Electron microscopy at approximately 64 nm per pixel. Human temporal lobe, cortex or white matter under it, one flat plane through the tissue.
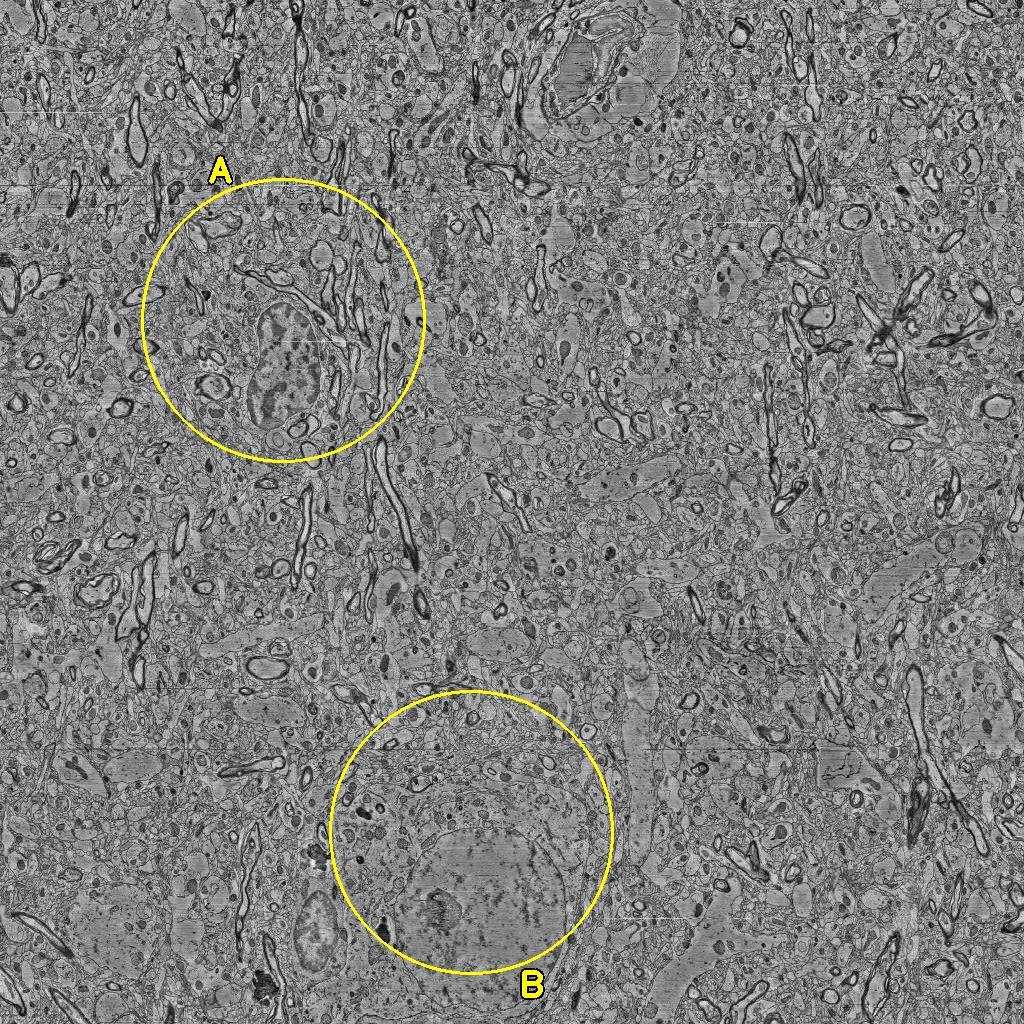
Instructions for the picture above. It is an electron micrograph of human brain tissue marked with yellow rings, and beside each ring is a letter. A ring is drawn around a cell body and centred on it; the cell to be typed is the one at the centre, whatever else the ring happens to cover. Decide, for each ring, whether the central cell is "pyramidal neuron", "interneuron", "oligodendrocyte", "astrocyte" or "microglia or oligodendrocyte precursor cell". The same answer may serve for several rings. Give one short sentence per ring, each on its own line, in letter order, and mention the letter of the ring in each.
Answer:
Ring A is drawn around a microglial cell or oligodendrocyte precursor cell.
Ring B is drawn around a pyramidal neuron.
